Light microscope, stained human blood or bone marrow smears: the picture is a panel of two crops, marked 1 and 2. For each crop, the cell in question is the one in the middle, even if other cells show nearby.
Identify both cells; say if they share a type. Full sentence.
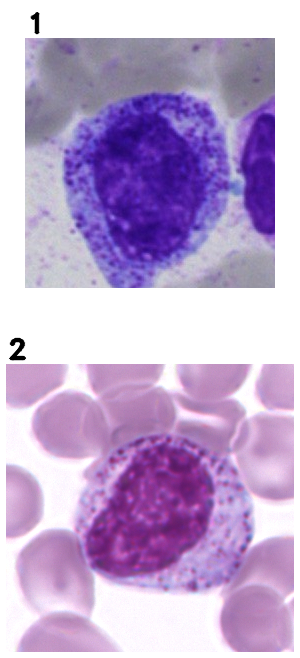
Yes, myelocytes are at the centre in both crops.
